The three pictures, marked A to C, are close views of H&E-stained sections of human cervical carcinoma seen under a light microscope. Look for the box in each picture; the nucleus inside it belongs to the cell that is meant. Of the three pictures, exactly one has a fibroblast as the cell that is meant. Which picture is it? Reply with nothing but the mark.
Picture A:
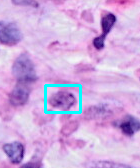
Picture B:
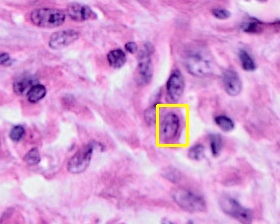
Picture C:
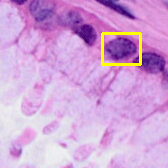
A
